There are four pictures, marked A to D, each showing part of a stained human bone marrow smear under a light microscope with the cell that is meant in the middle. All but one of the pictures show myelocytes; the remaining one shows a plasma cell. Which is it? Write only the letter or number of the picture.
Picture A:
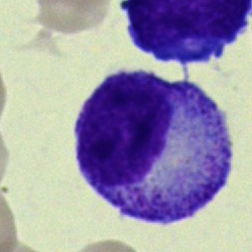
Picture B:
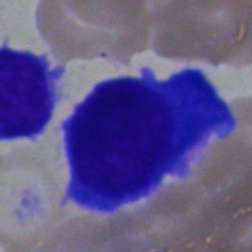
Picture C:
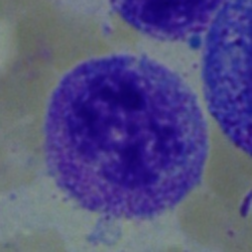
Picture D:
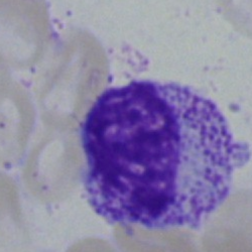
B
